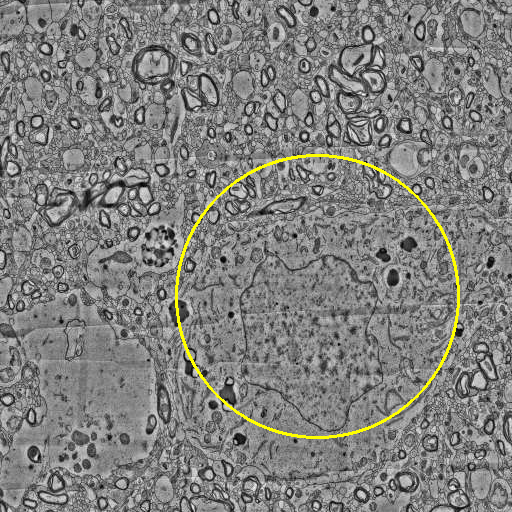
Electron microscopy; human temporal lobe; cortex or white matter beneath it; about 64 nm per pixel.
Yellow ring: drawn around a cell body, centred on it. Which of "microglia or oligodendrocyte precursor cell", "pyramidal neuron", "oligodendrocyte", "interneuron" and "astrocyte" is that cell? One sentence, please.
That cell body is from a pyramidal neuron.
